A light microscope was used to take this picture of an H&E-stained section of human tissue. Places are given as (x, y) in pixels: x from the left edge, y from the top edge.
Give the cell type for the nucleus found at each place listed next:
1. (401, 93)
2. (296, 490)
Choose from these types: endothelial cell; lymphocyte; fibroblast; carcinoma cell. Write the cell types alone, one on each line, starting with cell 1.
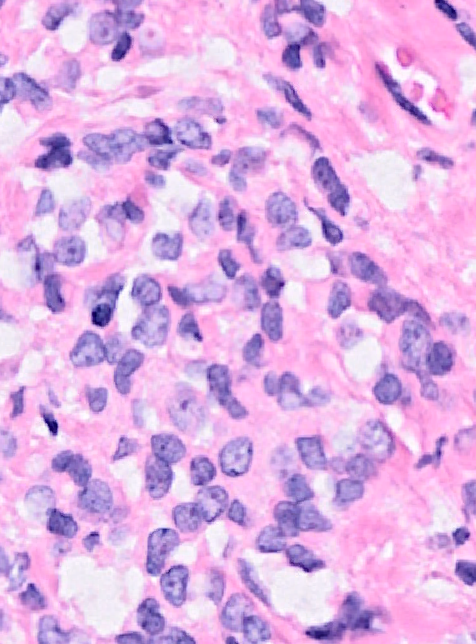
endothelial cell
carcinoma cell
